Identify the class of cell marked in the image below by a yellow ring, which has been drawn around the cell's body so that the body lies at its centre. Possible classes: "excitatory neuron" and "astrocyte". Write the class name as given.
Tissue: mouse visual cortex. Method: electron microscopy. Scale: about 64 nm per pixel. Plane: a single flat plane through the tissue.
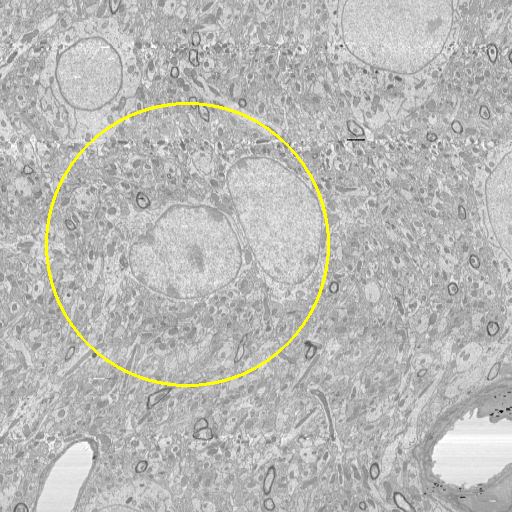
astrocyte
